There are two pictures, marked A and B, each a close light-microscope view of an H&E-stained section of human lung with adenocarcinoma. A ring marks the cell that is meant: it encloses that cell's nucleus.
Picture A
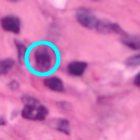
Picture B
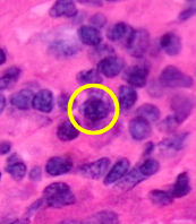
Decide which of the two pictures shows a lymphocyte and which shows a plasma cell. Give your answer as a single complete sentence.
Picture B shows a lymphocyte, while picture A shows a plasma cell.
